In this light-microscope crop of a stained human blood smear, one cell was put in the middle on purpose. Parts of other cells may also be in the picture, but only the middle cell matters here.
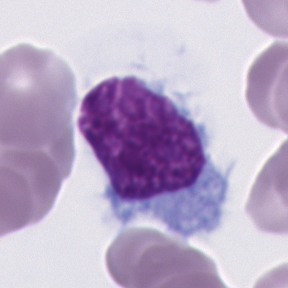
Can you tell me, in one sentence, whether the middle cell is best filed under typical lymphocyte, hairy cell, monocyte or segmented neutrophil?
The crop's centre is taken up by a hairy cell.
